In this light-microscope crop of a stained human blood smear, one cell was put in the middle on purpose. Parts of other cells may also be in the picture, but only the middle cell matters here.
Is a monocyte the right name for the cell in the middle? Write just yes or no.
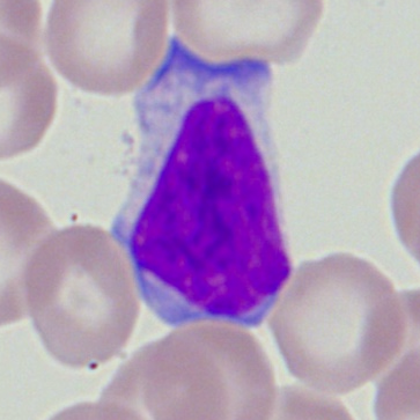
no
